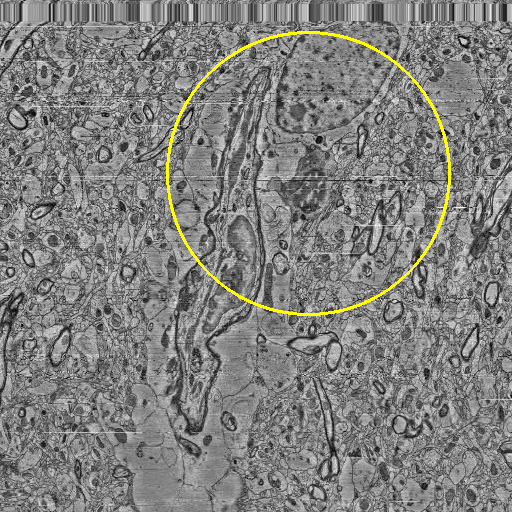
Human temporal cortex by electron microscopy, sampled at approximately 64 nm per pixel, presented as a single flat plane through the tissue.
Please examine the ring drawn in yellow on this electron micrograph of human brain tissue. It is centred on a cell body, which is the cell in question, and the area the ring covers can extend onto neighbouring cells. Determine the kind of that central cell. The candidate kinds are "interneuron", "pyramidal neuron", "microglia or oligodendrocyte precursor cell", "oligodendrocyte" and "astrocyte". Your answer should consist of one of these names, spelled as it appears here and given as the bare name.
oligodendrocyte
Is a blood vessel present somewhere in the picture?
Yes, a blood vessel shows in the picture.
